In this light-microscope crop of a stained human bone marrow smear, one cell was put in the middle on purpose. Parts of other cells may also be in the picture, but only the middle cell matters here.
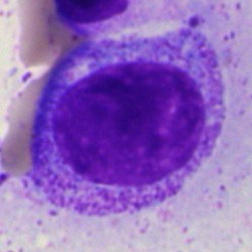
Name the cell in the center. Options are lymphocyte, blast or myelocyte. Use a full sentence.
The cell positioned in the middle of the field is a myelocyte.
